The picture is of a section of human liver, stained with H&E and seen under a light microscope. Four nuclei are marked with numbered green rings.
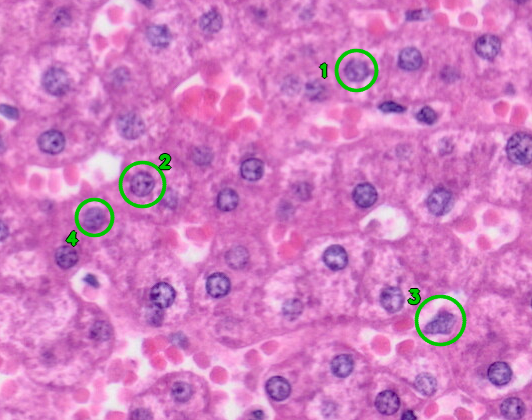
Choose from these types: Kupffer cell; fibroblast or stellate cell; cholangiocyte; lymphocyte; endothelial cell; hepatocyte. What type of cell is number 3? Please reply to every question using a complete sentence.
The numbered cell 3 is identified here as a Kupffer cell.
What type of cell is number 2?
In this section, the cell tagged 2 is a hepatocyte.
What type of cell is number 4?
The expected answer is that cell 4 is a hepatocyte.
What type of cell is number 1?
Among the marked nuclei, number 1 belongs to a hepatocyte.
